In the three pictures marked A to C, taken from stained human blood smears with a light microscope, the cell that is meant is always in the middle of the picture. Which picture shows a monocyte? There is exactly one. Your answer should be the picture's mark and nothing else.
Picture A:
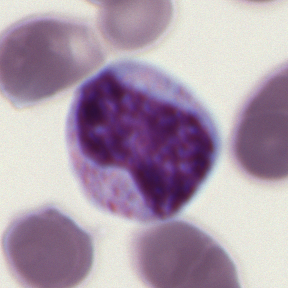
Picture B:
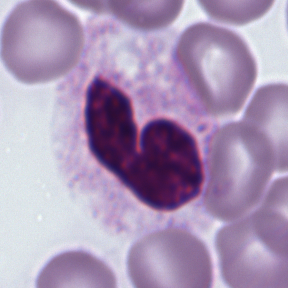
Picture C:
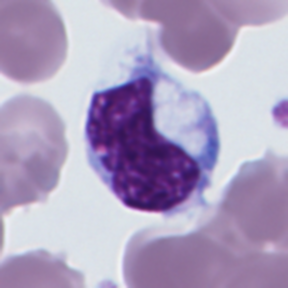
C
